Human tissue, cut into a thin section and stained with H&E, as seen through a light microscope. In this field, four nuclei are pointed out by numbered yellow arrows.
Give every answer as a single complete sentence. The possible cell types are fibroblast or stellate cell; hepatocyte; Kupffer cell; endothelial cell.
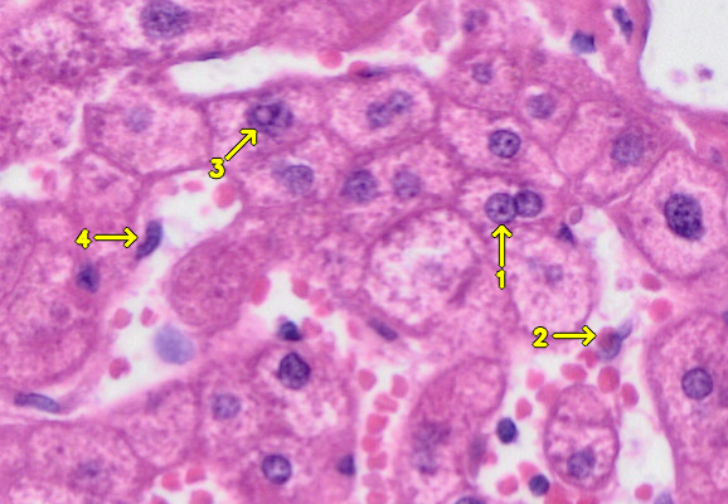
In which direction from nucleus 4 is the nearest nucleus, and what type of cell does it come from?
Lying below and to the left of nucleus 4, the nearest nucleus is that of a fibroblast or stellate cell.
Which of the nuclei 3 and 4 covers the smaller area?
Number 4 is smaller, since number 3 takes up about 2 times as much area.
